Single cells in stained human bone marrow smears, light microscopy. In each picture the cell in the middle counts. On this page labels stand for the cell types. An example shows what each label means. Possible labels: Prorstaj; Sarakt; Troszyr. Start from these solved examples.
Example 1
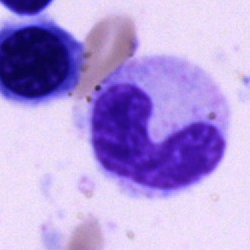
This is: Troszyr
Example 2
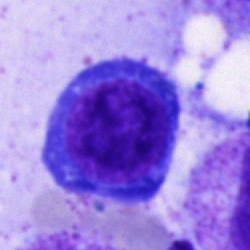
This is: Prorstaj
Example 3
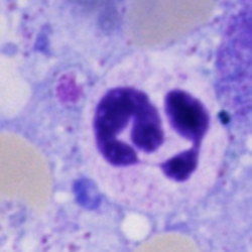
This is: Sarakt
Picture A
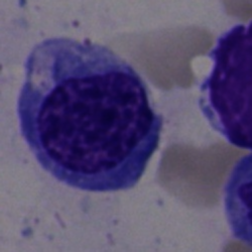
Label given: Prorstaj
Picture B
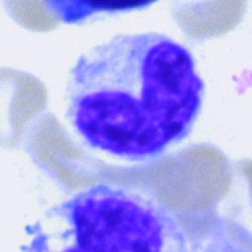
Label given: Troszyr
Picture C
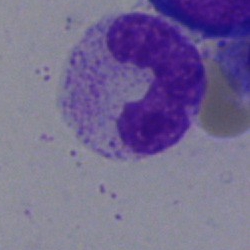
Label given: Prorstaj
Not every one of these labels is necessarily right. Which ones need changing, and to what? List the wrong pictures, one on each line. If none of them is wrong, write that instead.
C: change Prorstaj to Troszyr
